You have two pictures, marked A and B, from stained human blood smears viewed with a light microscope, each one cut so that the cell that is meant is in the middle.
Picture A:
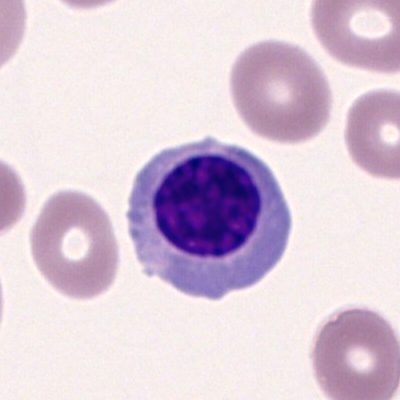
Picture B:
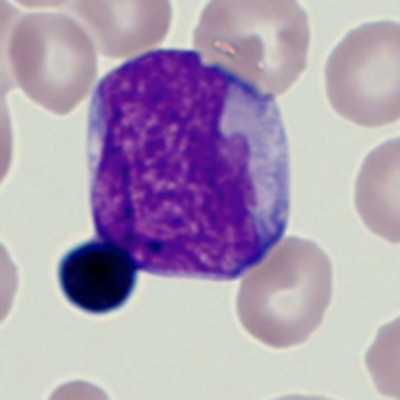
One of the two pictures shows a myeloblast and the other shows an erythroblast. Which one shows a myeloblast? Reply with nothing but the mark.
B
